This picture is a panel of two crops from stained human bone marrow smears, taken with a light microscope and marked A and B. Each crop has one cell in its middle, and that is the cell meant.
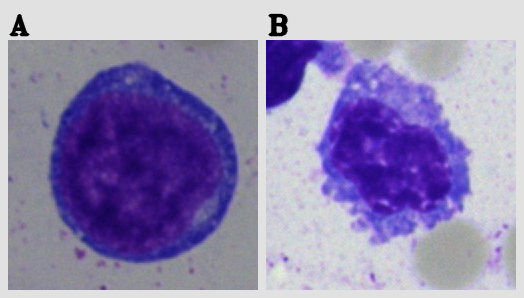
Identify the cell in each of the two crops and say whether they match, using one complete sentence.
No, the cell shown in crop A is a proerythroblast, and the cell shown in crop B is a plasma cell.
